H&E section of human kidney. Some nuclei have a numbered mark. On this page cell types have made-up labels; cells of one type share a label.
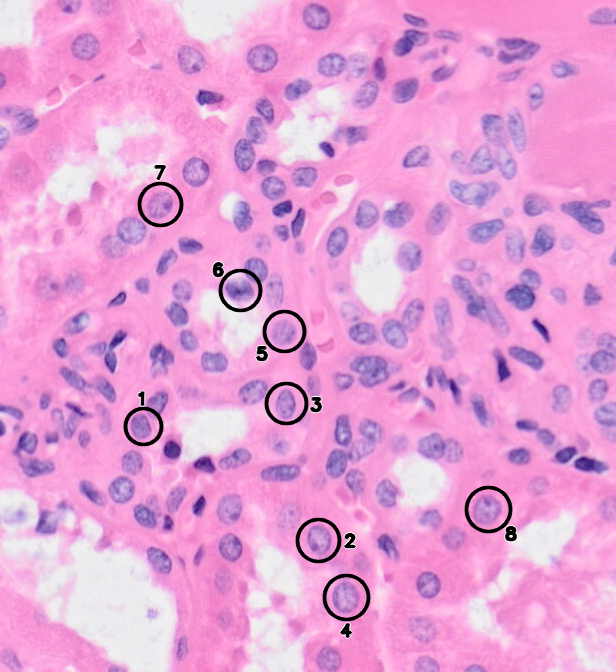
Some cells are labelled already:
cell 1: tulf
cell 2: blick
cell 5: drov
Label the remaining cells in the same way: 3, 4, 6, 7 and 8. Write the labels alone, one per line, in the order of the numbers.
drov
blick
drov
blick
blick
